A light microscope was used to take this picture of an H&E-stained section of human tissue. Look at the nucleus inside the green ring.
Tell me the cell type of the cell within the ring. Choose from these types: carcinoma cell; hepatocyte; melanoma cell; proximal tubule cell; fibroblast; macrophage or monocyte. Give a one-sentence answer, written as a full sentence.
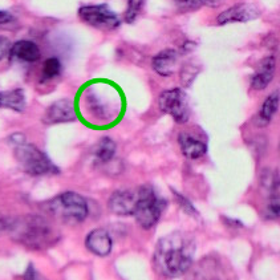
The expected answer is simply that the cell within the ring is a melanoma cell.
